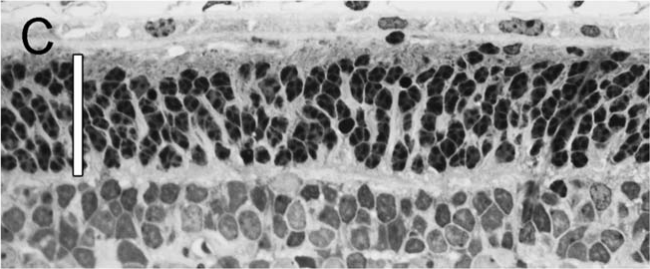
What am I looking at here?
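Several rows of small, very dark, tightly packed nuclei form a band across the section, with only a thin, poorly striated zone above it in place of a broad band of segments. These are the nuclei of rod photoreceptors in the outer nuclear layer, a layer still several rows deep. Under a pale band beneath them lie larger, paler, rounder nuclei of the inner retina.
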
